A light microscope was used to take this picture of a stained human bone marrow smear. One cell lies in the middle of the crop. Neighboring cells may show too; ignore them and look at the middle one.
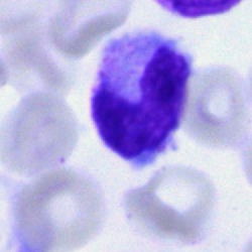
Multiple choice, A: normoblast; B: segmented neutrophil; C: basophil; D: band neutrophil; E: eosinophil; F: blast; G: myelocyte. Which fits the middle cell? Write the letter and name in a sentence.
The correct option is D, as the central cell is a band neutrophil.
